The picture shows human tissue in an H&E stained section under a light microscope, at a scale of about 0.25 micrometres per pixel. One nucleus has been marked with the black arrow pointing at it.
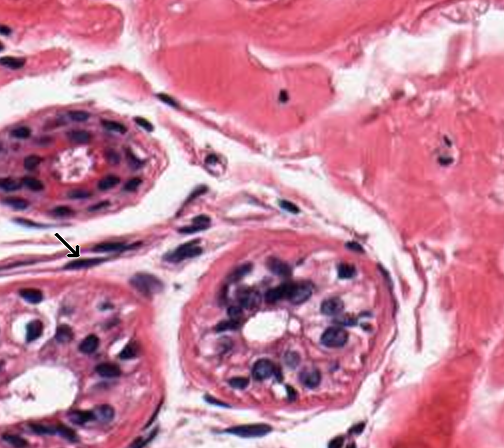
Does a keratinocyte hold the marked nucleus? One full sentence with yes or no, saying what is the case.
No, a supporting cell is the one to which the marked nucleus belongs, not a keratinocyte.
